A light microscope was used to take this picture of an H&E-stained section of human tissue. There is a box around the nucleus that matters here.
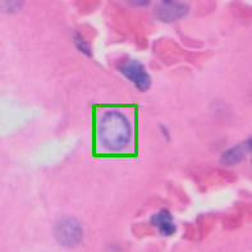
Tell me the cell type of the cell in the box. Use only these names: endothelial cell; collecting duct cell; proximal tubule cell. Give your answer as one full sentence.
Microscopically, the cell in the box is categorized as a proximal tubule cell.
